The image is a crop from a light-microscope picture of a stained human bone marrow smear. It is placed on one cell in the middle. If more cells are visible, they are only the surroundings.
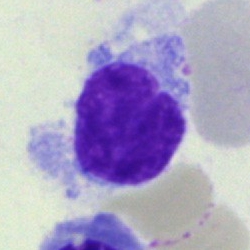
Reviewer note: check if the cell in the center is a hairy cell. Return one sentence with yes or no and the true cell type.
Yes, the cell at the midpoint of the crop is a hairy cell.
